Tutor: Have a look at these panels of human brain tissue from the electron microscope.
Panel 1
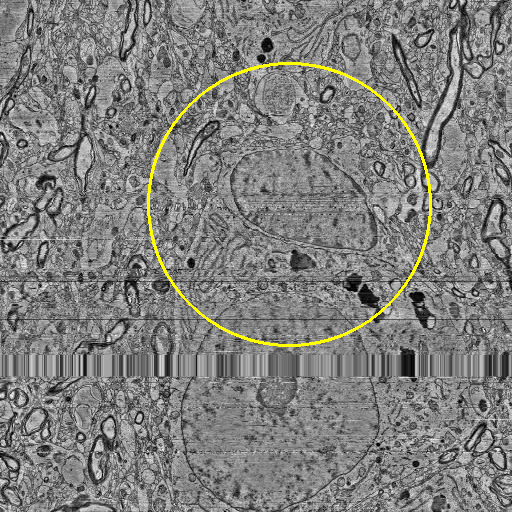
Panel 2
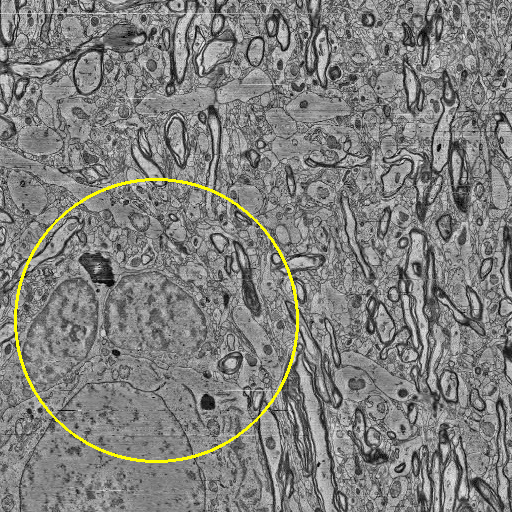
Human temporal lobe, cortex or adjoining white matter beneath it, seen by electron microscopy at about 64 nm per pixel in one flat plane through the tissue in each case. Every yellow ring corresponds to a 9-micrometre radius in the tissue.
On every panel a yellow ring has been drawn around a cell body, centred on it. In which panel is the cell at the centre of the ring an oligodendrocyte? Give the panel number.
2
